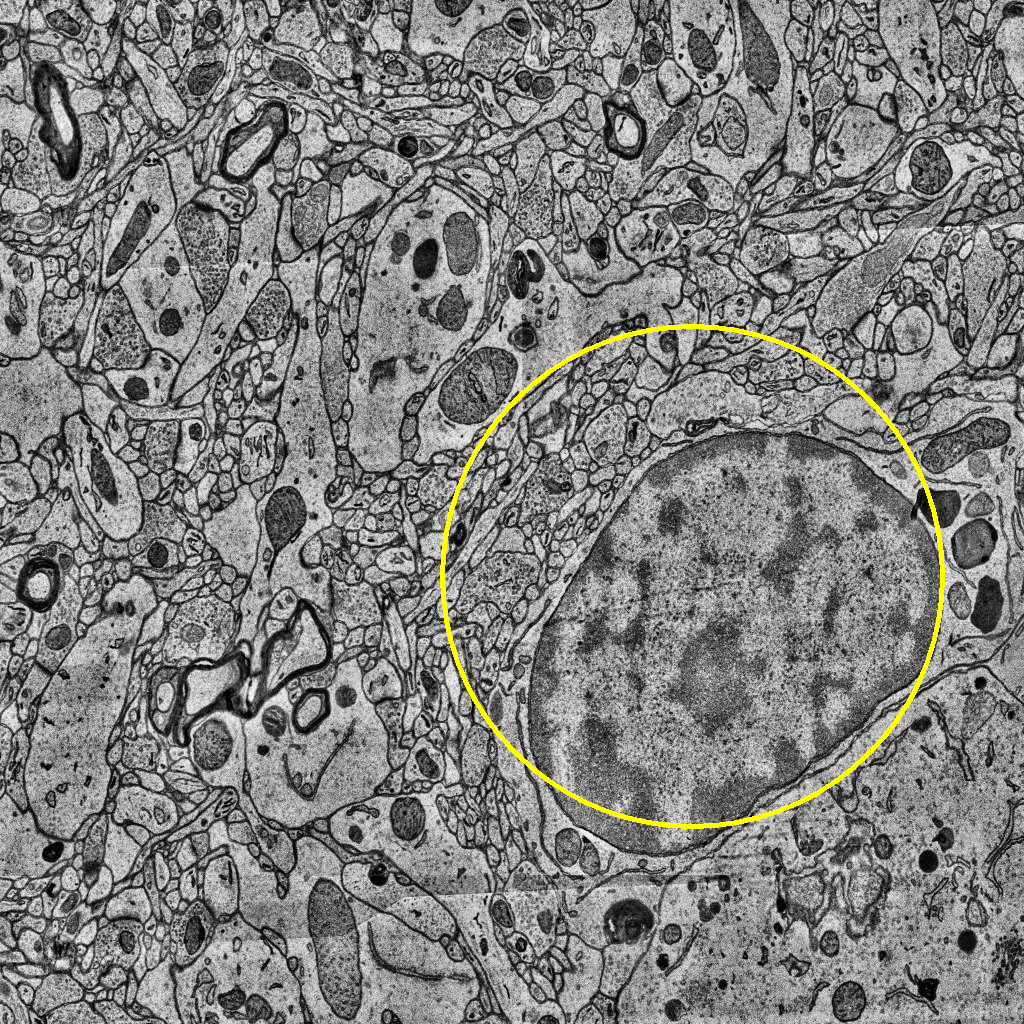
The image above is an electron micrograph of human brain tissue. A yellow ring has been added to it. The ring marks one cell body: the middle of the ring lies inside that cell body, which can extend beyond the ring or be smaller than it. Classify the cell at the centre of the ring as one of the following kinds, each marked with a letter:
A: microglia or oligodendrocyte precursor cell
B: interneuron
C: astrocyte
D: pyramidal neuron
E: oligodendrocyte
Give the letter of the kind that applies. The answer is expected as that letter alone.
A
